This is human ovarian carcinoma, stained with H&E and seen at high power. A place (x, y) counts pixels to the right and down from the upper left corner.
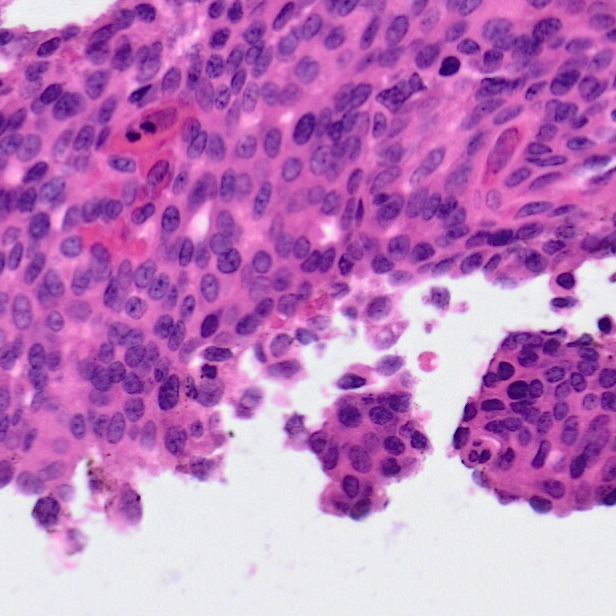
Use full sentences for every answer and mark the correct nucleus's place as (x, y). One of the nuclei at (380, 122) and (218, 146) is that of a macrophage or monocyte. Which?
The nucleus belonging to a macrophage or monocyte is the one at (380, 122).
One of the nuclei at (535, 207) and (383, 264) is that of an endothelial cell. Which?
The nucleus that sits at (535, 207) is the nucleus of an endothelial cell.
